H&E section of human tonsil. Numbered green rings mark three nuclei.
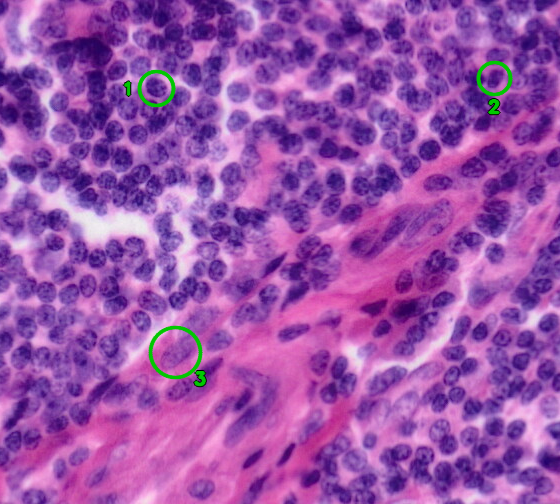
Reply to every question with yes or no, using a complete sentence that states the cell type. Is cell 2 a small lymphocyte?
Yes, correct, the cell with the number 2 is a small lymphocyte.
